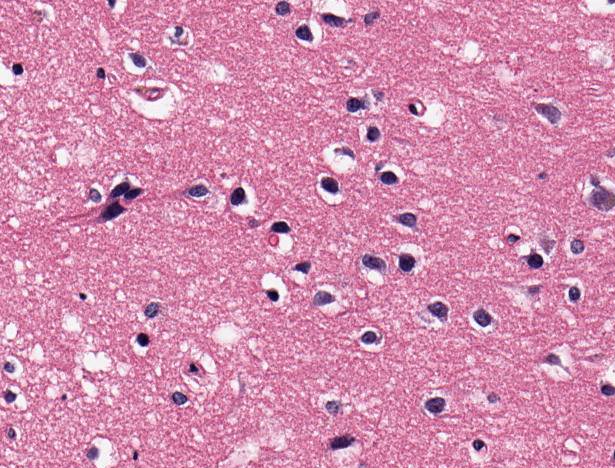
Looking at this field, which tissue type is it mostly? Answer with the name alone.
cerebral cortex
